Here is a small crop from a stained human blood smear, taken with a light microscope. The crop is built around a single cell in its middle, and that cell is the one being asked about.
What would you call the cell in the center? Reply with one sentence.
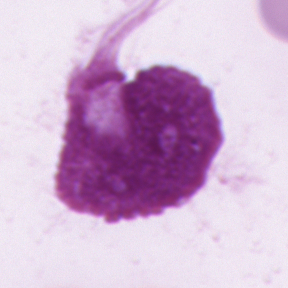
Centrally within this crop lies a smudge cell.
